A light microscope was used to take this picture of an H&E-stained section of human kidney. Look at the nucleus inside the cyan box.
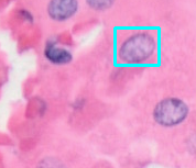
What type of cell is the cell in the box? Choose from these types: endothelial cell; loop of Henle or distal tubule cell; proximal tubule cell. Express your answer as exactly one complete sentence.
The cell type of the cell in the box is that of a proximal tubule cell.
